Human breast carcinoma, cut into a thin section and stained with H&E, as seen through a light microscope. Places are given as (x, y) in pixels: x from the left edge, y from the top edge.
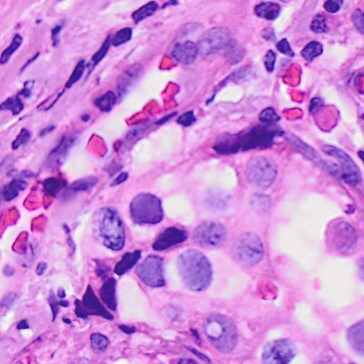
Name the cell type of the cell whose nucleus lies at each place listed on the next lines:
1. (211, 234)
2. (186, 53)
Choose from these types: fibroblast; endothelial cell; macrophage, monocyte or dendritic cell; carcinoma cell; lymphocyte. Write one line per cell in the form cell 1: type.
cell 1: carcinoma cell
cell 2: endothelial cell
